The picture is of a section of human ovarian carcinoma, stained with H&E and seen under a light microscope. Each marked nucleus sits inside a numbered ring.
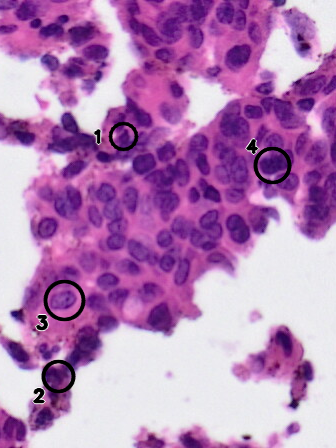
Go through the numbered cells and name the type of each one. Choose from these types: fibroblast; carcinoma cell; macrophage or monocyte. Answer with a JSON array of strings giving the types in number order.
["carcinoma cell", "carcinoma cell", "macrophage or monocyte", "carcinoma cell"]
